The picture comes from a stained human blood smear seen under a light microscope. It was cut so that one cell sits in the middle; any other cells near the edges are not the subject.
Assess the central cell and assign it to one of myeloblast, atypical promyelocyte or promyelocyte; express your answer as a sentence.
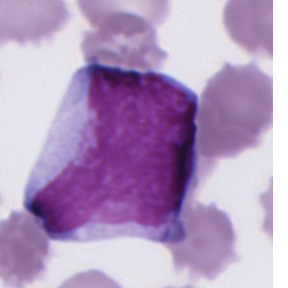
The center cell of this crop is a myeloblast.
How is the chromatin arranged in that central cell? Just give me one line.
The chromatin remains finely textured, with no coarse clumps to speak of.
